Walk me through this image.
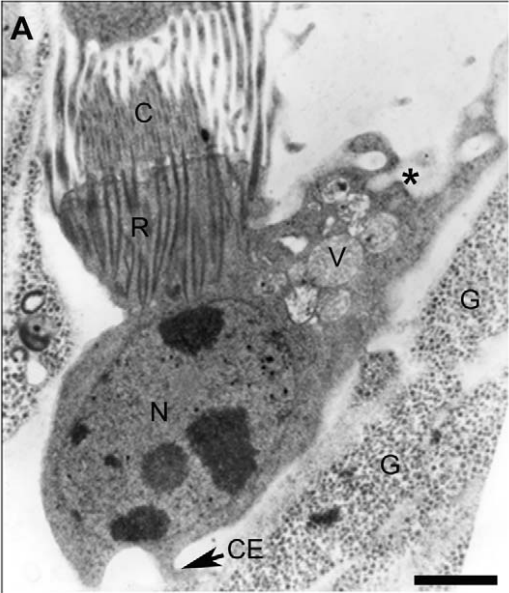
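This shows the cell body of a flame cell, with a large nucleus carrying several dark heterochromatic clumps. Beside the rootlets the cytoplasm holds a cluster of rounded vesicles, some pale and empty, others with content, near an infolding of the surface membrane. Neighbouring cells packed with fine dark granules lie against the cell body, touched by a thin cytoplasmic extension.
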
